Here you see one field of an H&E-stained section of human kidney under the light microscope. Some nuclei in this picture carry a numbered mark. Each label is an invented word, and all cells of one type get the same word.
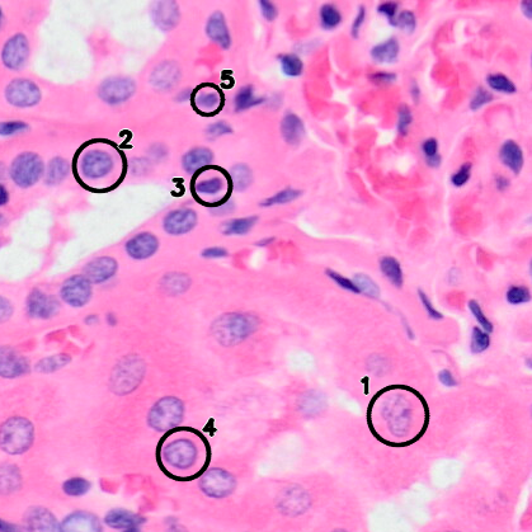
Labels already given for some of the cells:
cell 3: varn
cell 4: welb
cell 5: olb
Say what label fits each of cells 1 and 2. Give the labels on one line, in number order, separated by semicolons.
welb; varn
